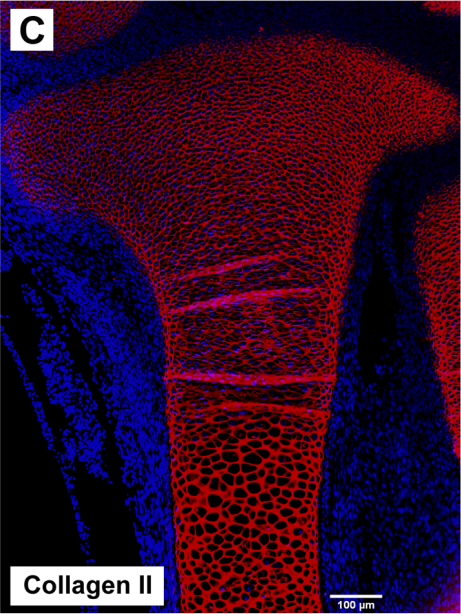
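A cartilage rudiment with a broad rounded top end narrowing into a shaft is filled throughout with red matrix, while the tissue surrounding it shows only blue nuclei. At the top, the cells are small and densely packed, each in a small red-rimmed space. Further down the shaft, the spaces enlarge markedly, so the red matrix forms a coarse honeycomb of thin walls around large empty-looking lacunae. A few thin horizontal streaks cross the middle of the shaft.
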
